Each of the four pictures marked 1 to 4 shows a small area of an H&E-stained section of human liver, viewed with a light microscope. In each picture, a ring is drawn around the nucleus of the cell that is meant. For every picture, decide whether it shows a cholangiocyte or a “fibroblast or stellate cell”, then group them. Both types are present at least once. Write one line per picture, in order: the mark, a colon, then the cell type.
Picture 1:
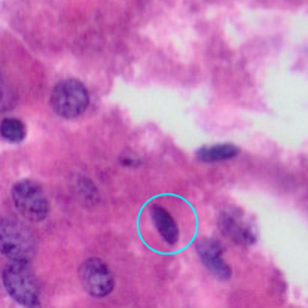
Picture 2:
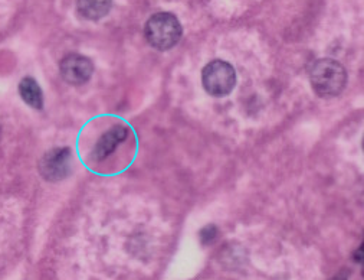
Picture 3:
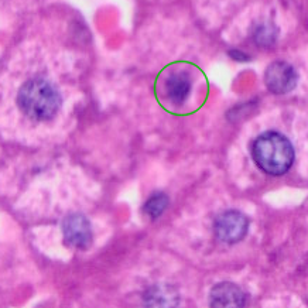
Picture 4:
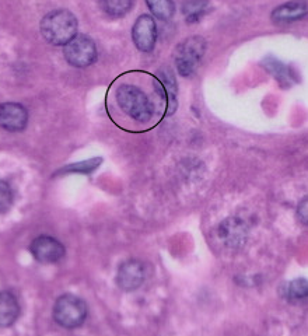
1: fibroblast or stellate cell
2: fibroblast or stellate cell
3: fibroblast or stellate cell
4: cholangiocyte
